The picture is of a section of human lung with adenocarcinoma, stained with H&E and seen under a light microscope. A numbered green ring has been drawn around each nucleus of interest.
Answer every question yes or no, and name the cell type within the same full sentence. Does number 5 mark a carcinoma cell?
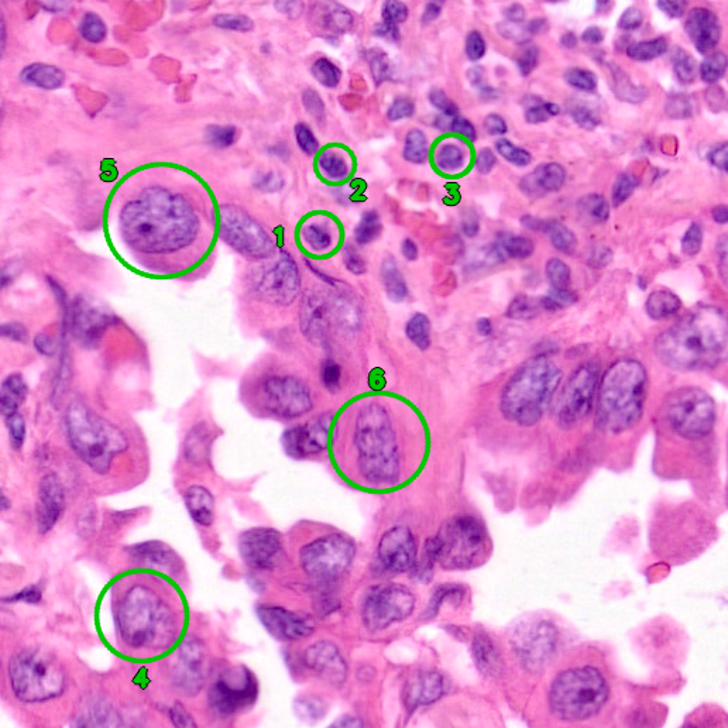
Yes, the cell pointed out as number 5 is a carcinoma cell.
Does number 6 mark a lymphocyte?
No, the cell carrying number 6 is a carcinoma cell, not a lymphocyte.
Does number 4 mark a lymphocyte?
No, the cell under number 4 is a carcinoma cell instead of a lymphocyte.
